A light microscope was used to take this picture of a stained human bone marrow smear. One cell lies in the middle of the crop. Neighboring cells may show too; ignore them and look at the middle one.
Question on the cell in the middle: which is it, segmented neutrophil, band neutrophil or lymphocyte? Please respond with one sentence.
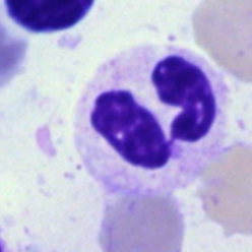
The central element of this crop is a cell, namely a segmented neutrophil.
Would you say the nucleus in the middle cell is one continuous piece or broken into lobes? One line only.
The nucleus is segmented, with two or more lobes present.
